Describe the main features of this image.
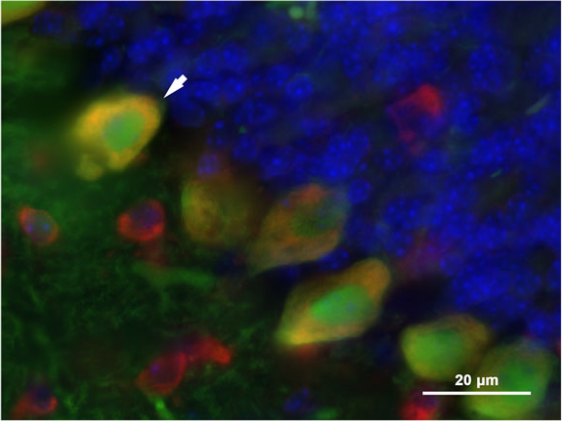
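A high magnification of cerebellar cortex showing several Purkinje neuron cell bodies lying in a row along the edge of a dense layer of small, blue granular nuclei. Some show a paler central region. Below the row, the background is green and finely fibrous, and smaller cells with red-outlined cytoplasm around blue nuclei are scattered there and between the large cell bodies. The large cells are several times the size of the surrounding nuclei.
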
